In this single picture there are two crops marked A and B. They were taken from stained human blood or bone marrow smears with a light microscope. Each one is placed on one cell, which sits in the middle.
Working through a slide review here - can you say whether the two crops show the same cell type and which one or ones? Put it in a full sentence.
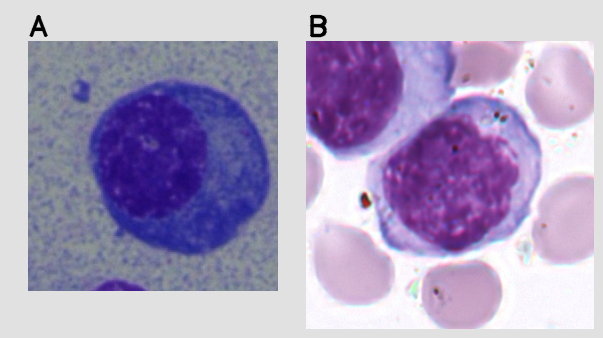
Yes, the cells placed at the centre of both crops are plasma cells.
